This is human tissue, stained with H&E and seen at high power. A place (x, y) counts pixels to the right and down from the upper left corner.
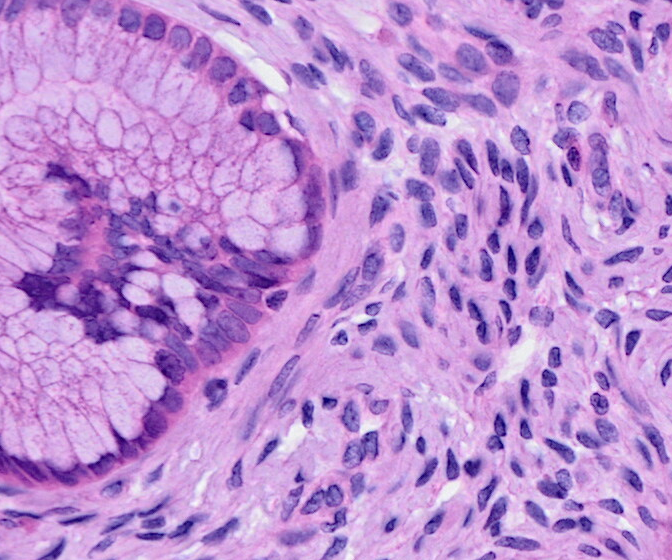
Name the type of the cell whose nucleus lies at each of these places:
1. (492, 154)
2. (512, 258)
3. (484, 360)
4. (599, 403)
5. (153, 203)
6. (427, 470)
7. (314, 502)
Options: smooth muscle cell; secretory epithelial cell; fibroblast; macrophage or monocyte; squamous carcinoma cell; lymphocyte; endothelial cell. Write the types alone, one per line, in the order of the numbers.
fibroblast
fibroblast
fibroblast
lymphocyte
secretory epithelial cell
fibroblast
endothelial cell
